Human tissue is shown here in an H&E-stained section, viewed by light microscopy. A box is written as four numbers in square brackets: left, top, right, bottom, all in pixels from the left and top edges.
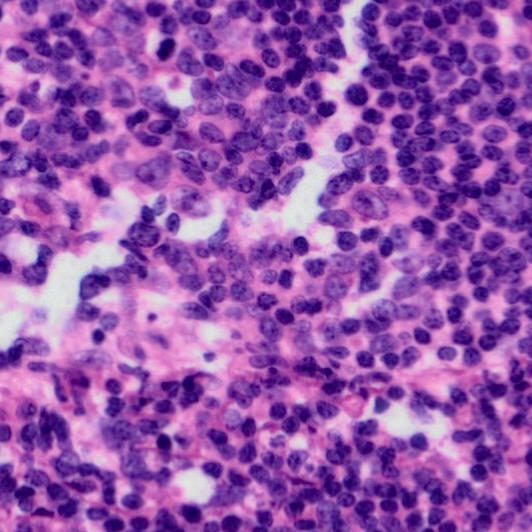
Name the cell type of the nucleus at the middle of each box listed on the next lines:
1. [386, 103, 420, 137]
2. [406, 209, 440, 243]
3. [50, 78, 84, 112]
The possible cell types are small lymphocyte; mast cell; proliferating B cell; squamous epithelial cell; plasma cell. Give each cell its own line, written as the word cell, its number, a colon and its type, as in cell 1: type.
cell 1: small lymphocyte
cell 2: small lymphocyte
cell 3: proliferating B cell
